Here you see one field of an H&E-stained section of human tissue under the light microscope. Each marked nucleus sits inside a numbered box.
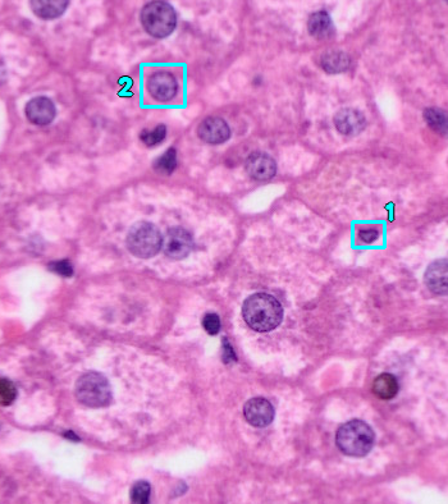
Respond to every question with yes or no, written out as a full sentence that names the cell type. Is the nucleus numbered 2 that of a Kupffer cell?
No, the marked cell 2 is not a Kupffer cell, being instead a hepatocyte.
